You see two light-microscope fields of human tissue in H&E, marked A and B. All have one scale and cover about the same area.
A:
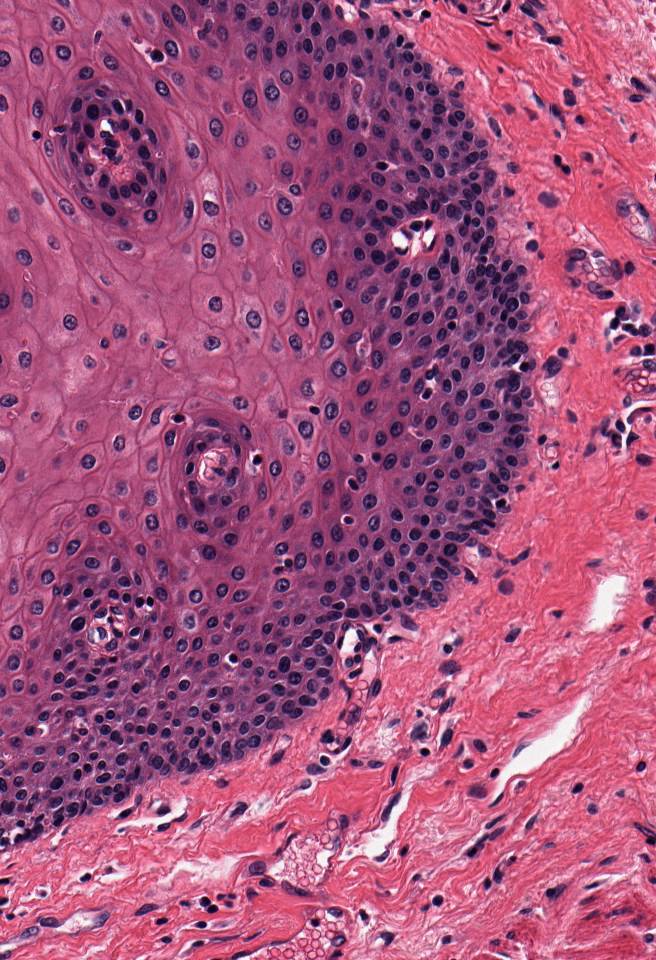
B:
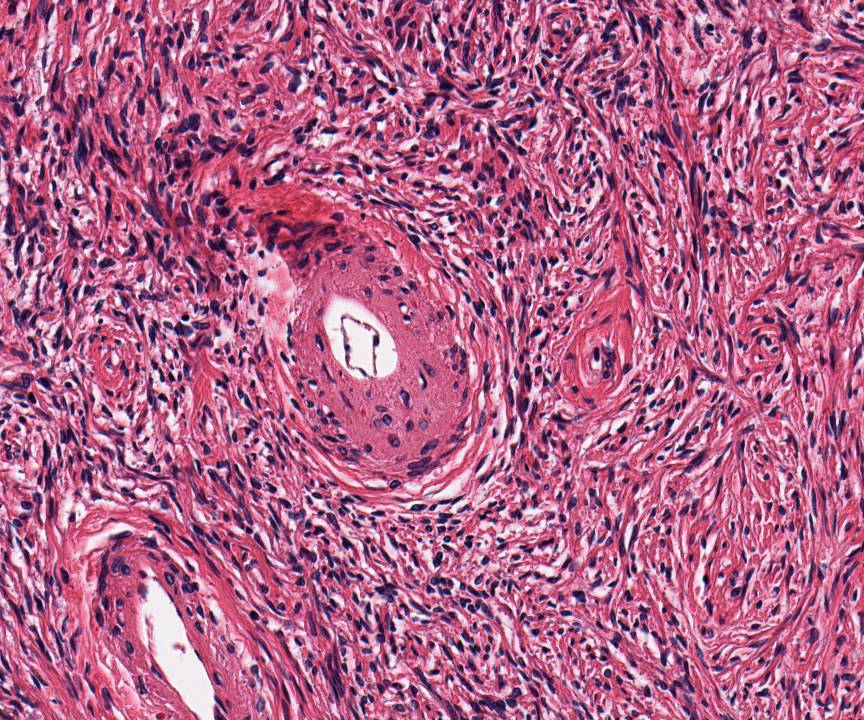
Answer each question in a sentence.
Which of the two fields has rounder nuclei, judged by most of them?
On the whole the nuclei of field A are rounder than those of field B.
